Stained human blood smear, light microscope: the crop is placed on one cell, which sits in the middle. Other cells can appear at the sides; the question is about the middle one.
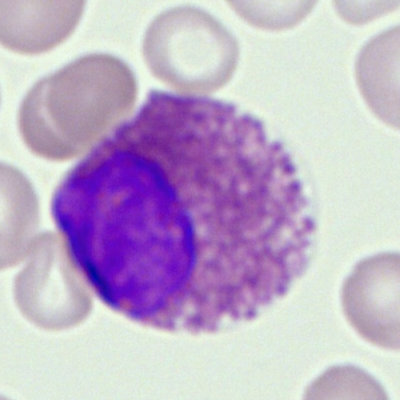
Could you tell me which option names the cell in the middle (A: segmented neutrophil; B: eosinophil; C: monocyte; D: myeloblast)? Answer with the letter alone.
B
